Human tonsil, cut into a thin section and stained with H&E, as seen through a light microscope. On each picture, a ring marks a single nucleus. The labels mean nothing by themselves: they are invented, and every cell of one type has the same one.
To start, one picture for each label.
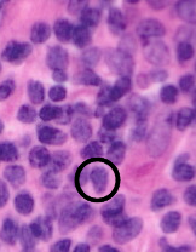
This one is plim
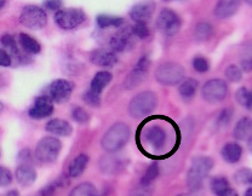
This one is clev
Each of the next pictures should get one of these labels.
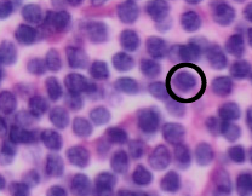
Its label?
plim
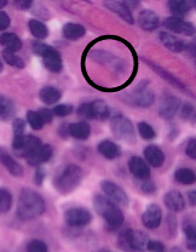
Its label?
clev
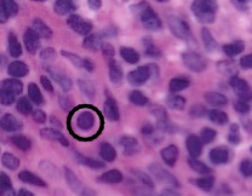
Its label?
clev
